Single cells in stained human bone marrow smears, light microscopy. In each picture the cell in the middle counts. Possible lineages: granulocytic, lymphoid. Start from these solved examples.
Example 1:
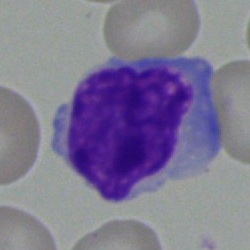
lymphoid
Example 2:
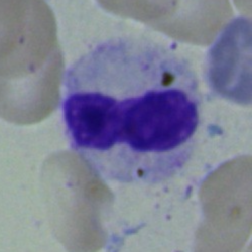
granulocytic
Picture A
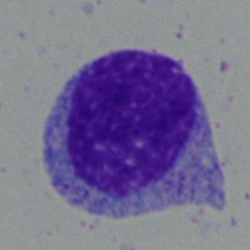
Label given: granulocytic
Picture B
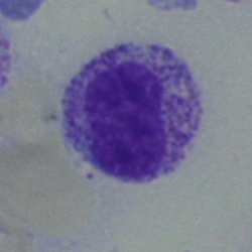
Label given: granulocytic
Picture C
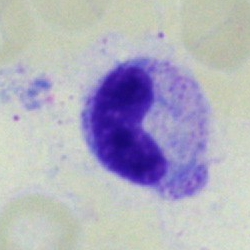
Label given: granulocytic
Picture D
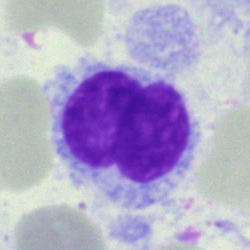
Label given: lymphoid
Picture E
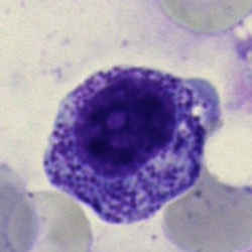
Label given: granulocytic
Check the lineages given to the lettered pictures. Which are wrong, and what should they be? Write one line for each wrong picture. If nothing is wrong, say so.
All labels are correct.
